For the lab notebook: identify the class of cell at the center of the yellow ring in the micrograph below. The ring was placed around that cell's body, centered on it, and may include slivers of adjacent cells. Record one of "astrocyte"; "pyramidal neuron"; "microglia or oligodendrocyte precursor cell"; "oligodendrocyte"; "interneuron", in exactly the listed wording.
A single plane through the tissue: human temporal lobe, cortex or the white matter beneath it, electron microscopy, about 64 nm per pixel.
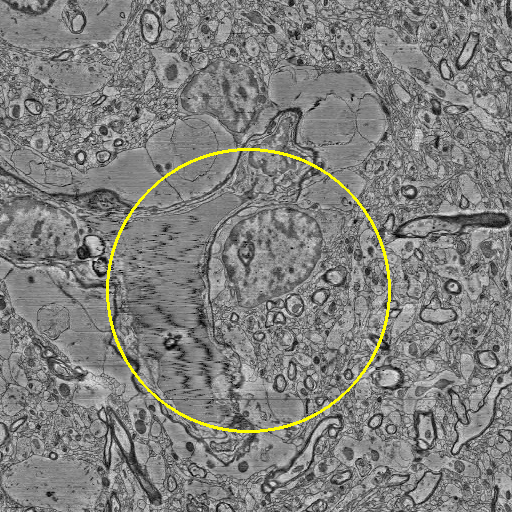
oligodendrocyte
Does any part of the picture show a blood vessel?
Yes, a blood vessel is present in this picture.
